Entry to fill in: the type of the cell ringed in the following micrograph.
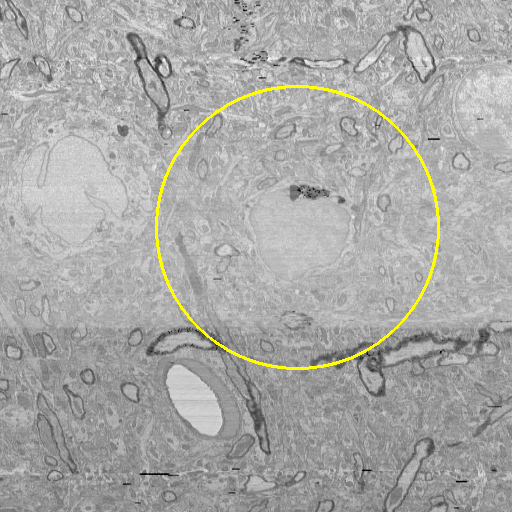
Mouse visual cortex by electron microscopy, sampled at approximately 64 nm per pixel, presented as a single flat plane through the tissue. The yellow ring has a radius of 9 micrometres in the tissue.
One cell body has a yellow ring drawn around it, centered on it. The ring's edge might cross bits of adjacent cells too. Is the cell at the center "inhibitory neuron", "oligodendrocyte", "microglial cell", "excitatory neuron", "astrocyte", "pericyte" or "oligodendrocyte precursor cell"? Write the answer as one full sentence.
This entry names a microglial cell as the cell whose body lies at the ring's center.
